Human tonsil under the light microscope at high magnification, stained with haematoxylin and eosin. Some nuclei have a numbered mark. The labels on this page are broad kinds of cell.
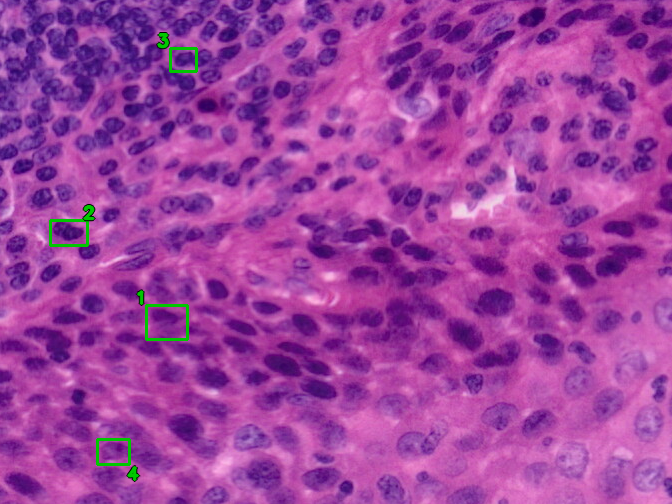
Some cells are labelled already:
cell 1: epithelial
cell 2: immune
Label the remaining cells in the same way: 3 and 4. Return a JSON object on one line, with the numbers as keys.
{"3": "immune", "4": "epithelial"}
